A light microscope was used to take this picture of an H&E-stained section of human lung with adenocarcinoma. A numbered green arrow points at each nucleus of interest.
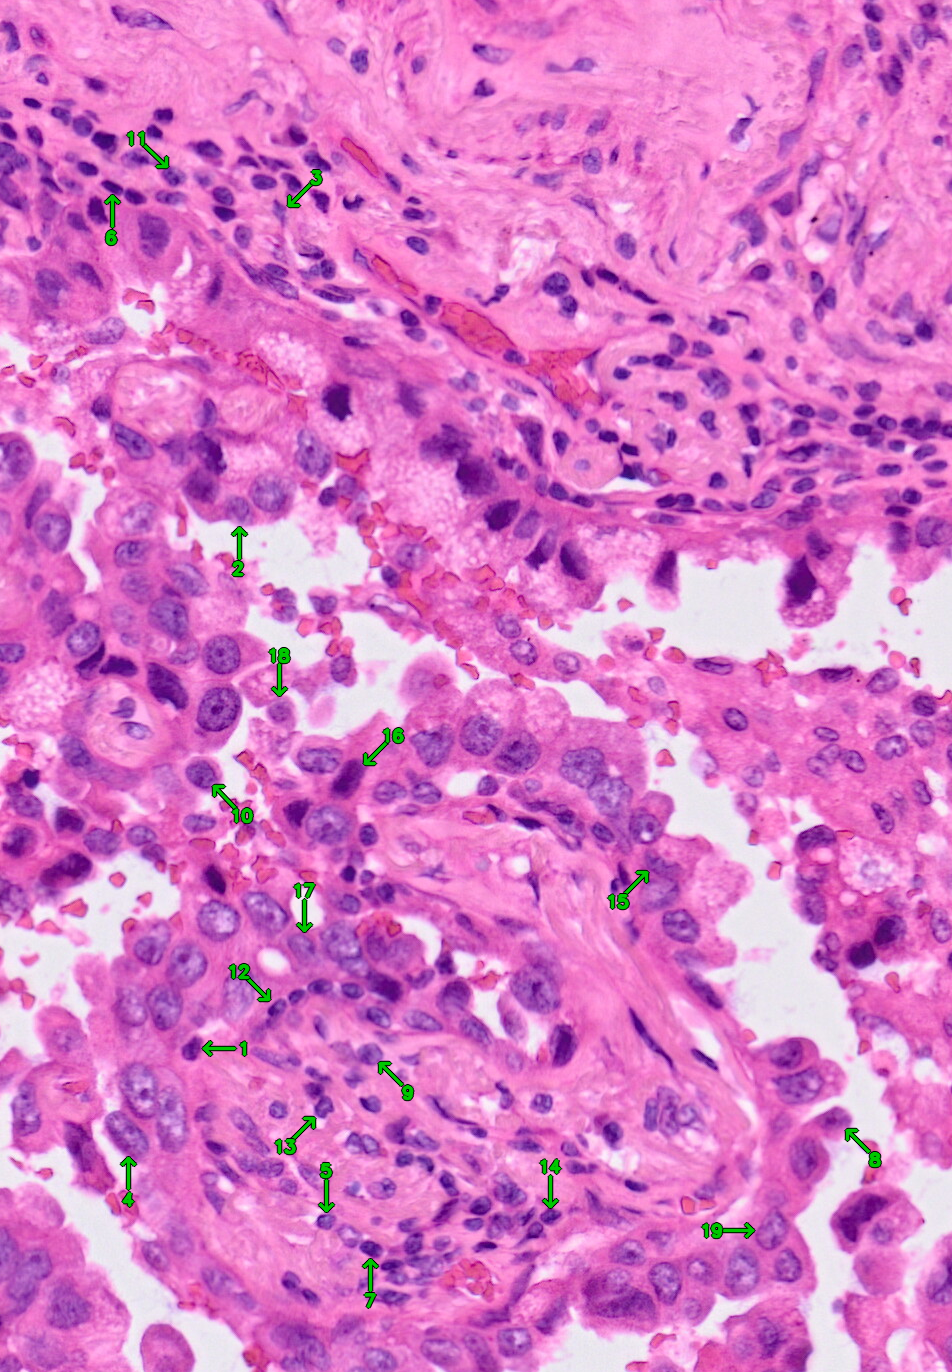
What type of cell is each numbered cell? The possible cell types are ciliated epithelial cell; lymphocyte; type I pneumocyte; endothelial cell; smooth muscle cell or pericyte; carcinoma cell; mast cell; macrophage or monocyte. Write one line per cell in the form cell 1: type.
cell 1: lymphocyte
cell 2: carcinoma cell
cell 3: lymphocyte
cell 4: carcinoma cell
cell 5: lymphocyte
cell 6: lymphocyte
cell 7: lymphocyte
cell 8: carcinoma cell
cell 9: lymphocyte
cell 10: carcinoma cell
cell 11: lymphocyte
cell 12: lymphocyte
cell 13: lymphocyte
cell 14: lymphocyte
cell 15: carcinoma cell
cell 16: carcinoma cell
cell 17: carcinoma cell
cell 18: carcinoma cell
cell 19: carcinoma cell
